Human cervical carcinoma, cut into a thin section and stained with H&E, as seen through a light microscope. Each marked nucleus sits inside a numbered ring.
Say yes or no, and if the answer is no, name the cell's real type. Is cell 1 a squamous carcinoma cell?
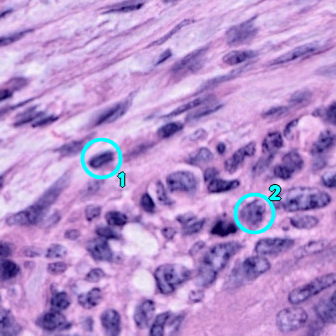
No, it is a lymphocyte.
